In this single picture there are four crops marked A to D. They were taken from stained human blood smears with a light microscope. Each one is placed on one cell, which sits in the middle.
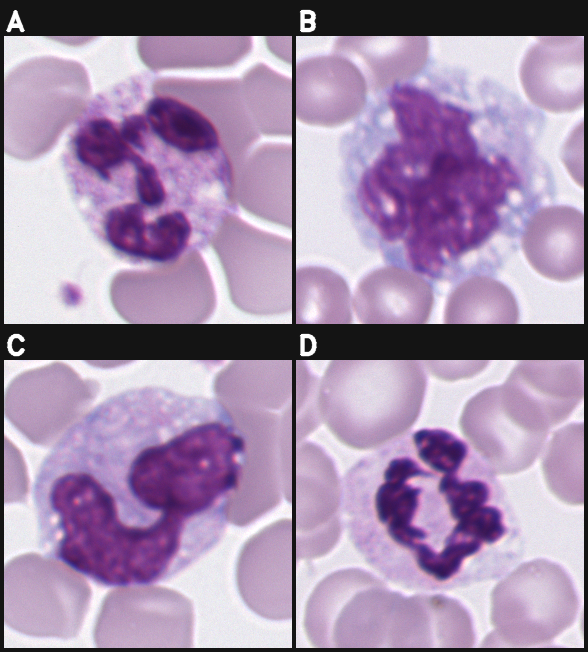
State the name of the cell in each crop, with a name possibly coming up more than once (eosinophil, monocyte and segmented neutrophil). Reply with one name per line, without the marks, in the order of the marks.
segmented neutrophil
monocyte
monocyte
segmented neutrophil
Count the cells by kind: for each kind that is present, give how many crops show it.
segmented neutrophil: 2
monocyte: 2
